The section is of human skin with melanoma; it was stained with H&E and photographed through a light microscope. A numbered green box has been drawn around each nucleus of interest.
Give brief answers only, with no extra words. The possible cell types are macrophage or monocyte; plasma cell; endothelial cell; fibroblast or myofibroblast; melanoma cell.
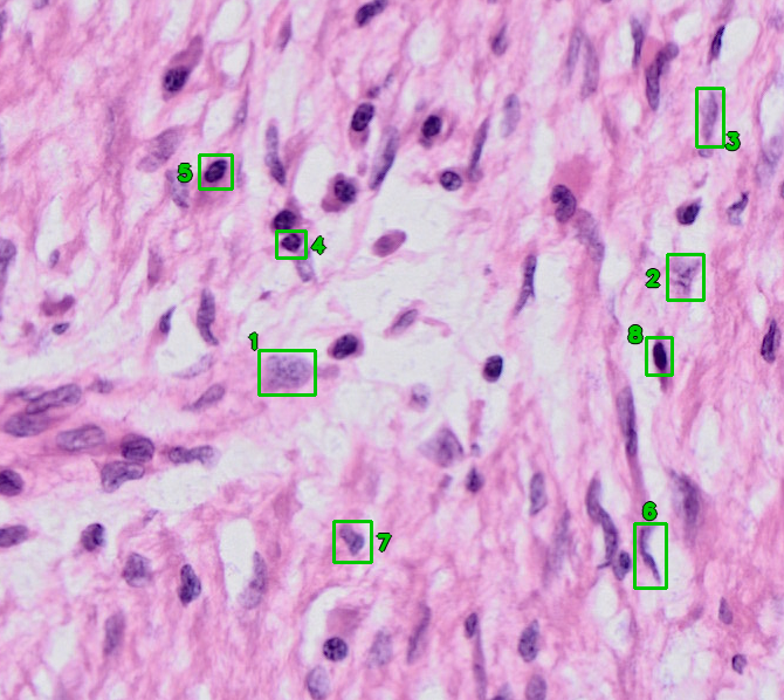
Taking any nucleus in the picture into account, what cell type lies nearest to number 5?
fibroblast or myofibroblast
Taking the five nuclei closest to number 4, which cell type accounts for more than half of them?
plasma cell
